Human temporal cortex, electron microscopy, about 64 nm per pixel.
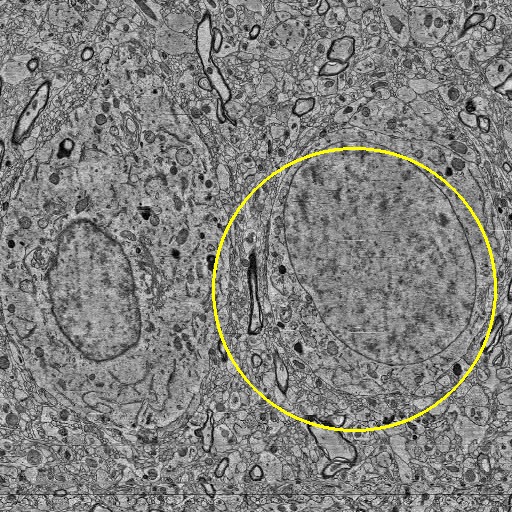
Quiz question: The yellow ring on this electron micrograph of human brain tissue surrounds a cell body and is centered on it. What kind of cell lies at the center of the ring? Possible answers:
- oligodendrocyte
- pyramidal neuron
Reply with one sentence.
The ring's center lies on a pyramidal neuron.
